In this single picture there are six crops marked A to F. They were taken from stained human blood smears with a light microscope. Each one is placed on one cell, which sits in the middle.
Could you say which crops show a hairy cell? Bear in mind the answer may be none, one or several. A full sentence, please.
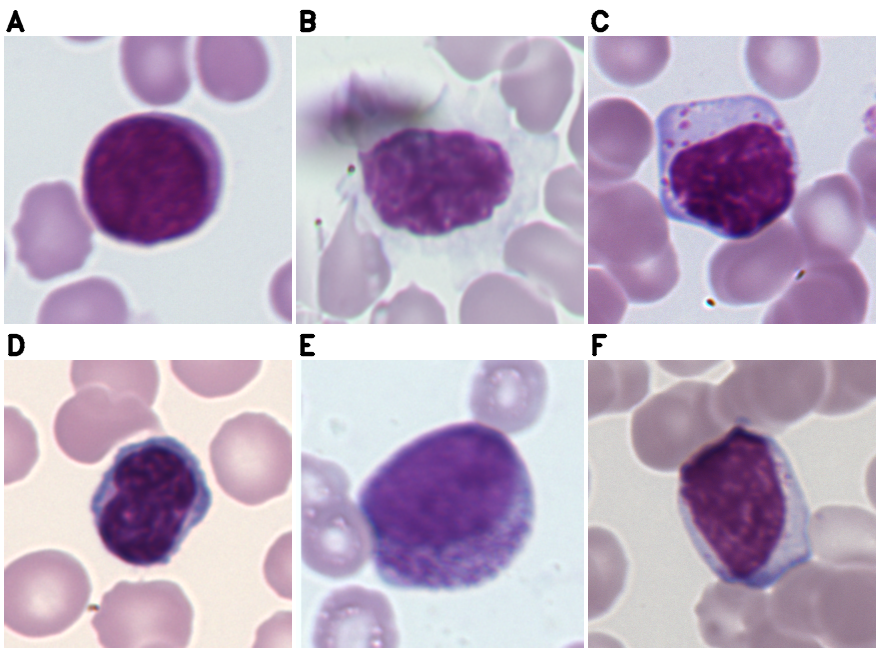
Crop B is the lone crop showing a hairy cell.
